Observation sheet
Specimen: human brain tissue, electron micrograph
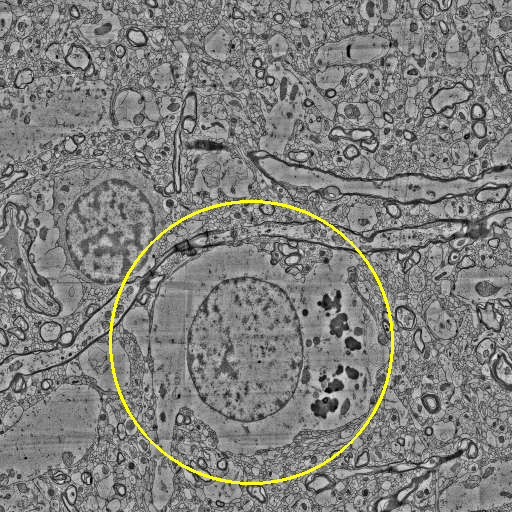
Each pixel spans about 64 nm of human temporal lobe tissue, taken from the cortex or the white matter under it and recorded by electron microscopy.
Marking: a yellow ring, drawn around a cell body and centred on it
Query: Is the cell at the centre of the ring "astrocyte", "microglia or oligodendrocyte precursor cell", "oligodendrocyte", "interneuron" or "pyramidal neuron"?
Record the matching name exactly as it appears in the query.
astrocyte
